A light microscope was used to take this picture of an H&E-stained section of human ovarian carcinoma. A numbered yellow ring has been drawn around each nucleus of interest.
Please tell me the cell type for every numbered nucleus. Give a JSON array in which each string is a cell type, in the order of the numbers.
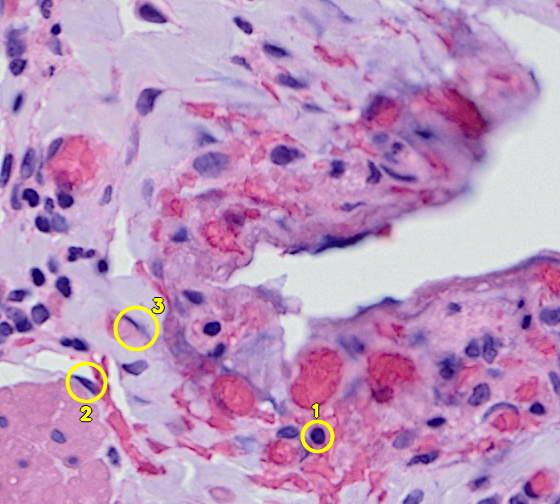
["lymphocyte", "endothelial cell", "endothelial cell"]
